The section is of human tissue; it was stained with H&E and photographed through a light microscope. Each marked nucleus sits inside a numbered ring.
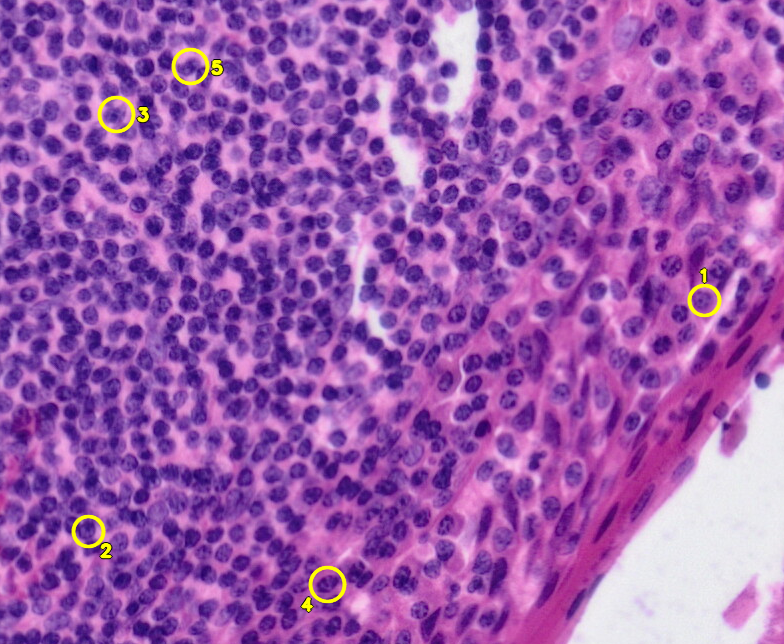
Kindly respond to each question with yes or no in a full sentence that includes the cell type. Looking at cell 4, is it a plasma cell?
Yes, the cell referred to as number 4 is a plasma cell.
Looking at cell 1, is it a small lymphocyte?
No, number 1 is assigned to a plasma cell, not to a small lymphocyte.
